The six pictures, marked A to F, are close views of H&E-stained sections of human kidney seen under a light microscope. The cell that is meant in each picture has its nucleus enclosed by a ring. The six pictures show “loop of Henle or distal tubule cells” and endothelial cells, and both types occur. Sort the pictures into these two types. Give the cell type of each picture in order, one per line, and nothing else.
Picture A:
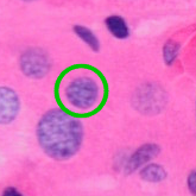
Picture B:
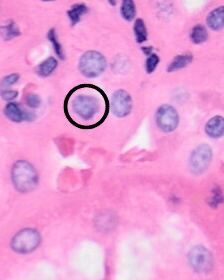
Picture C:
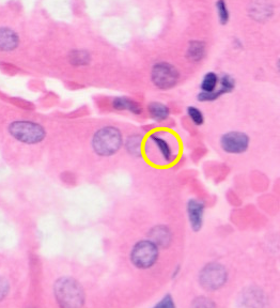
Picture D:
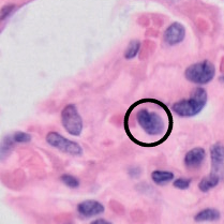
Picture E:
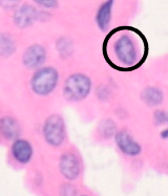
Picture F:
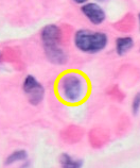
loop of Henle or distal tubule cell
loop of Henle or distal tubule cell
endothelial cell
endothelial cell
loop of Henle or distal tubule cell
endothelial cell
